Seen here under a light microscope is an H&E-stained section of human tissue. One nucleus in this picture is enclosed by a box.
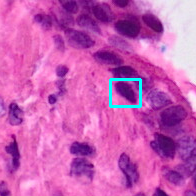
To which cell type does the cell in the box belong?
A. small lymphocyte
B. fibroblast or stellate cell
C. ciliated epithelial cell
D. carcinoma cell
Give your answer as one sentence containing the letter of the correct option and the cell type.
It is as option C has it, the cell in the box being a ciliated epithelial cell.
